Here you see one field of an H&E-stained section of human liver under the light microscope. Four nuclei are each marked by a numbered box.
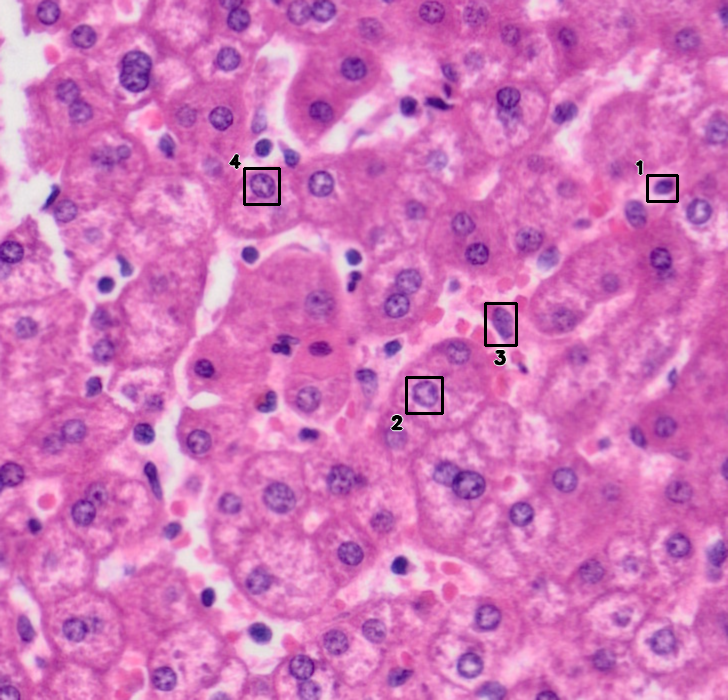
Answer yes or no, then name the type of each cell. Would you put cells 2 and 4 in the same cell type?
Yes, cells 2 and 4 are both counted as hepatocytes.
